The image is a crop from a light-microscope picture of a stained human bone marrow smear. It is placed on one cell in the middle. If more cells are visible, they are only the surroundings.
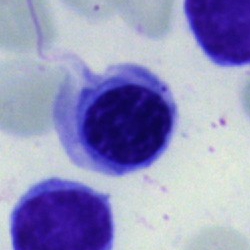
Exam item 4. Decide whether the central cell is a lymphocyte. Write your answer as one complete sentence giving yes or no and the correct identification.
No, the central cell is reported as a normoblast rather than as a lymphocyte.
